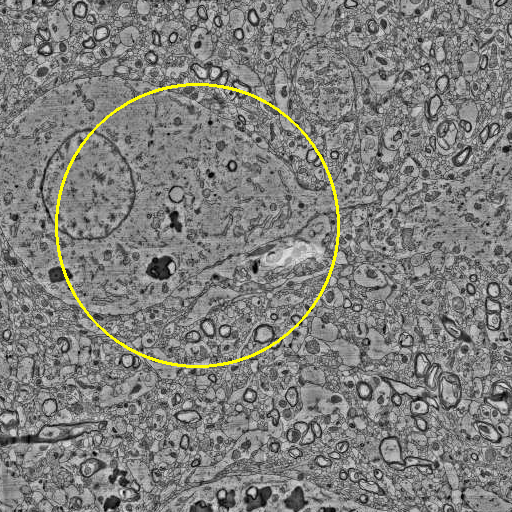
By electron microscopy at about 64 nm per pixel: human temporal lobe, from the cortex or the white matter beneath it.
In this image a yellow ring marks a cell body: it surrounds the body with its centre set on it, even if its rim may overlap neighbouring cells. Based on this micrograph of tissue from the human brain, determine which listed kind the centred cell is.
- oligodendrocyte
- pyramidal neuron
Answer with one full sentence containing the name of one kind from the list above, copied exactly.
It is an oligodendrocyte whose body the yellow ring encloses at its centre.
